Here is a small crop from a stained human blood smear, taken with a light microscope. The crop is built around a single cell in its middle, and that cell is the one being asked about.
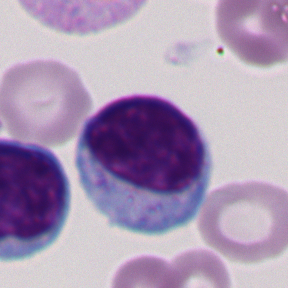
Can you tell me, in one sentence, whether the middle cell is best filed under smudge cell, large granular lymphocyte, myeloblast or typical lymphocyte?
The central cell shown in this smear crop is a typical lymphocyte.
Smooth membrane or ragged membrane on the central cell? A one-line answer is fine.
In short, the margin is smooth with no projections at all.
